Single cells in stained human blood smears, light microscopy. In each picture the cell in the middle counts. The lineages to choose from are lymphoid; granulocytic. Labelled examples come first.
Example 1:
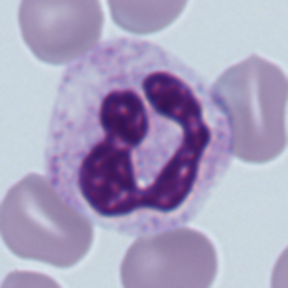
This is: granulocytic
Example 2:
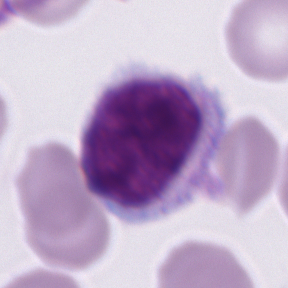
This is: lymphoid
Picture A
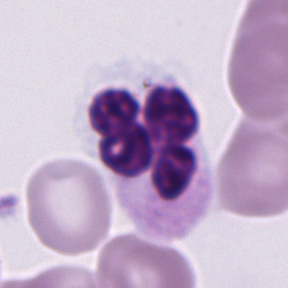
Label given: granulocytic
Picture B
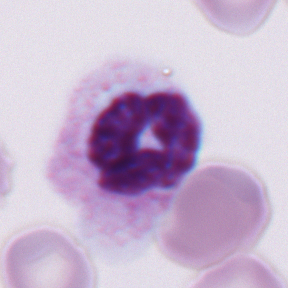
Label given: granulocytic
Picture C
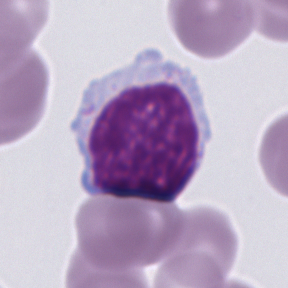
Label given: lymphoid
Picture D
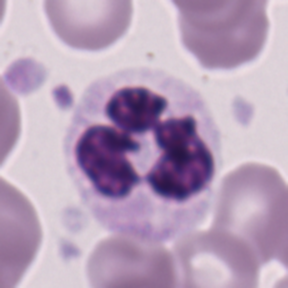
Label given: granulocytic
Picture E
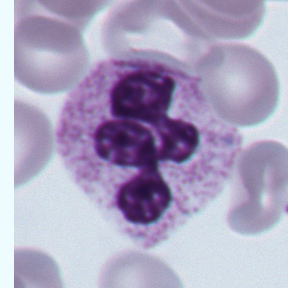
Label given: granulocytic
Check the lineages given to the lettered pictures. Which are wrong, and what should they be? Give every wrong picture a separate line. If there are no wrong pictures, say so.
None of the labels needs changing.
